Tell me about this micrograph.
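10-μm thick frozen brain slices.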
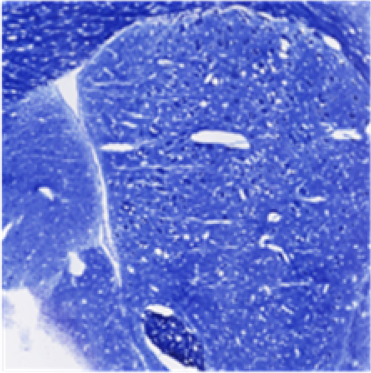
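A broad, intensely blue band of fibres runs across the upper left, separated by a thin pale cleft from a large rounded region of paler blue tissue. Within this region many small, round to oval darker blue fibre bundles are scattered fairly evenly, interspersed with pale, elongated spaces of blood vessels. Near the bottom lies a compact oval bundle stained deep blue. Individual cells cannot be resolved at this magnification; the pattern shows tissue architecture only.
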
